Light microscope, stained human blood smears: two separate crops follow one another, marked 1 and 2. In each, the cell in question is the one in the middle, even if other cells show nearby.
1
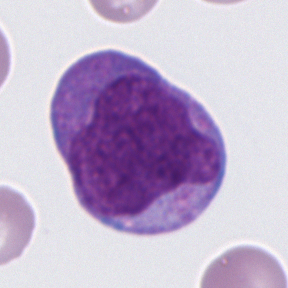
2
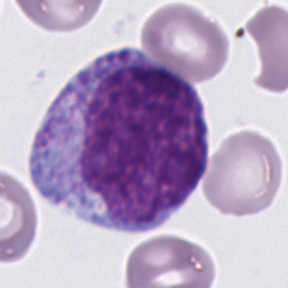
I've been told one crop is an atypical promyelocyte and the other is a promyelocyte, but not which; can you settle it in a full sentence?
Crop 1 and crop 2 are an atypical promyelocyte and a promyelocyte, in that order.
